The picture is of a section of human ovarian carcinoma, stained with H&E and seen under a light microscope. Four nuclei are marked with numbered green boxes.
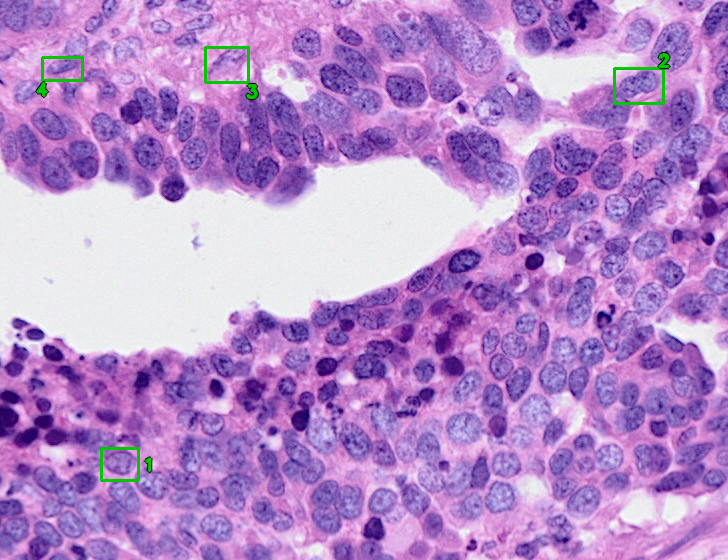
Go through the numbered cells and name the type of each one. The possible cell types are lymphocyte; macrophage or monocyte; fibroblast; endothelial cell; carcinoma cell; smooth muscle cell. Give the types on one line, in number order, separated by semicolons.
carcinoma cell; carcinoma cell; fibroblast; fibroblast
